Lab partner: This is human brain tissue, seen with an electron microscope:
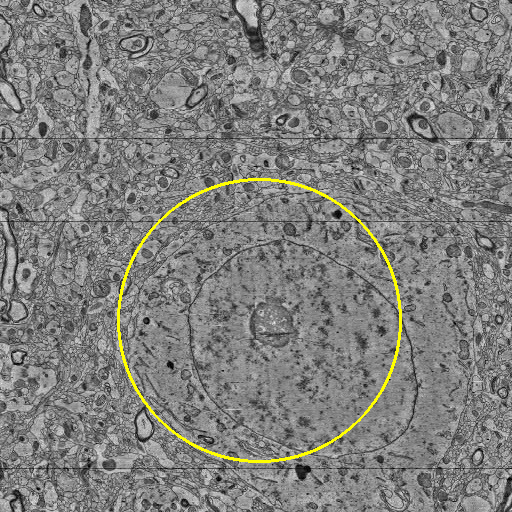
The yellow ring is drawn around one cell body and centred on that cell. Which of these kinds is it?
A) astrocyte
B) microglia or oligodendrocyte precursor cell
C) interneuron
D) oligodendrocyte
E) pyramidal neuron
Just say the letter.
E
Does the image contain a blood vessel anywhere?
No, the picture includes no blood vessel.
